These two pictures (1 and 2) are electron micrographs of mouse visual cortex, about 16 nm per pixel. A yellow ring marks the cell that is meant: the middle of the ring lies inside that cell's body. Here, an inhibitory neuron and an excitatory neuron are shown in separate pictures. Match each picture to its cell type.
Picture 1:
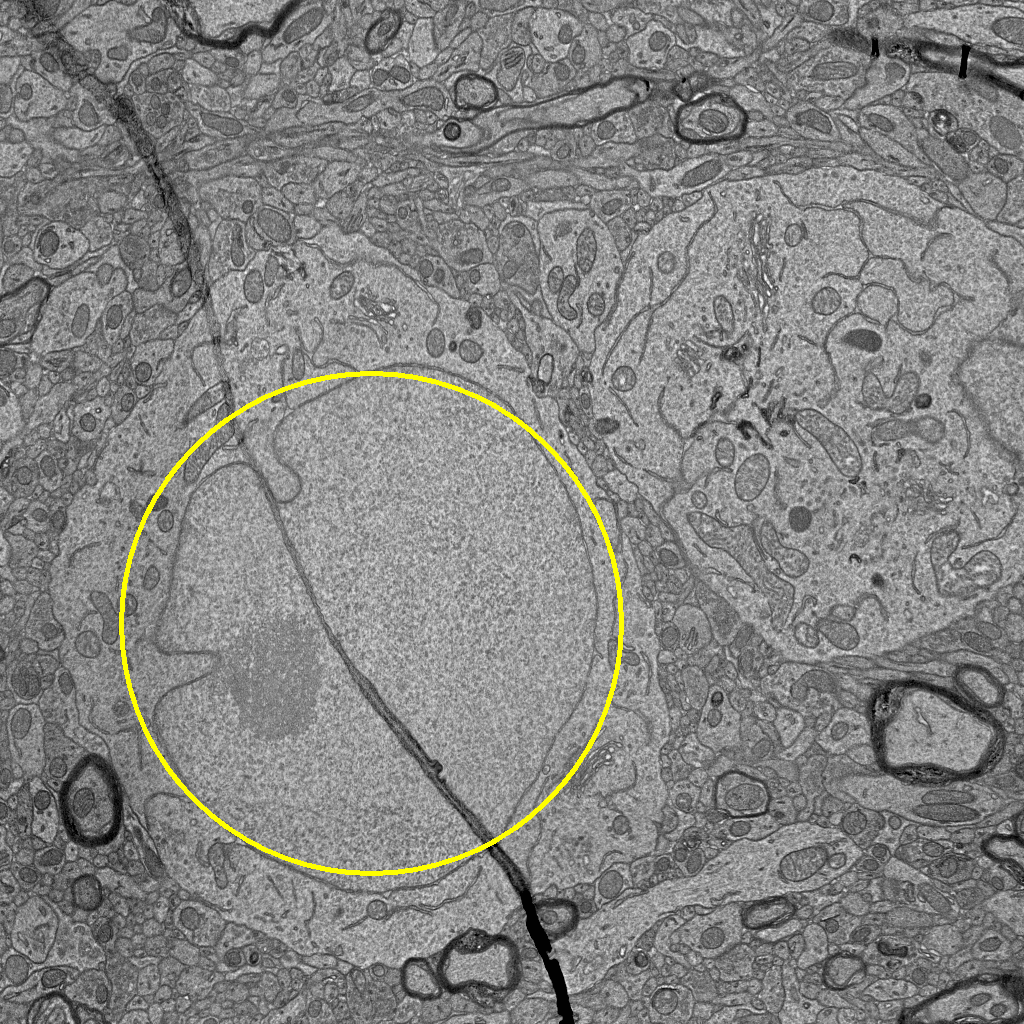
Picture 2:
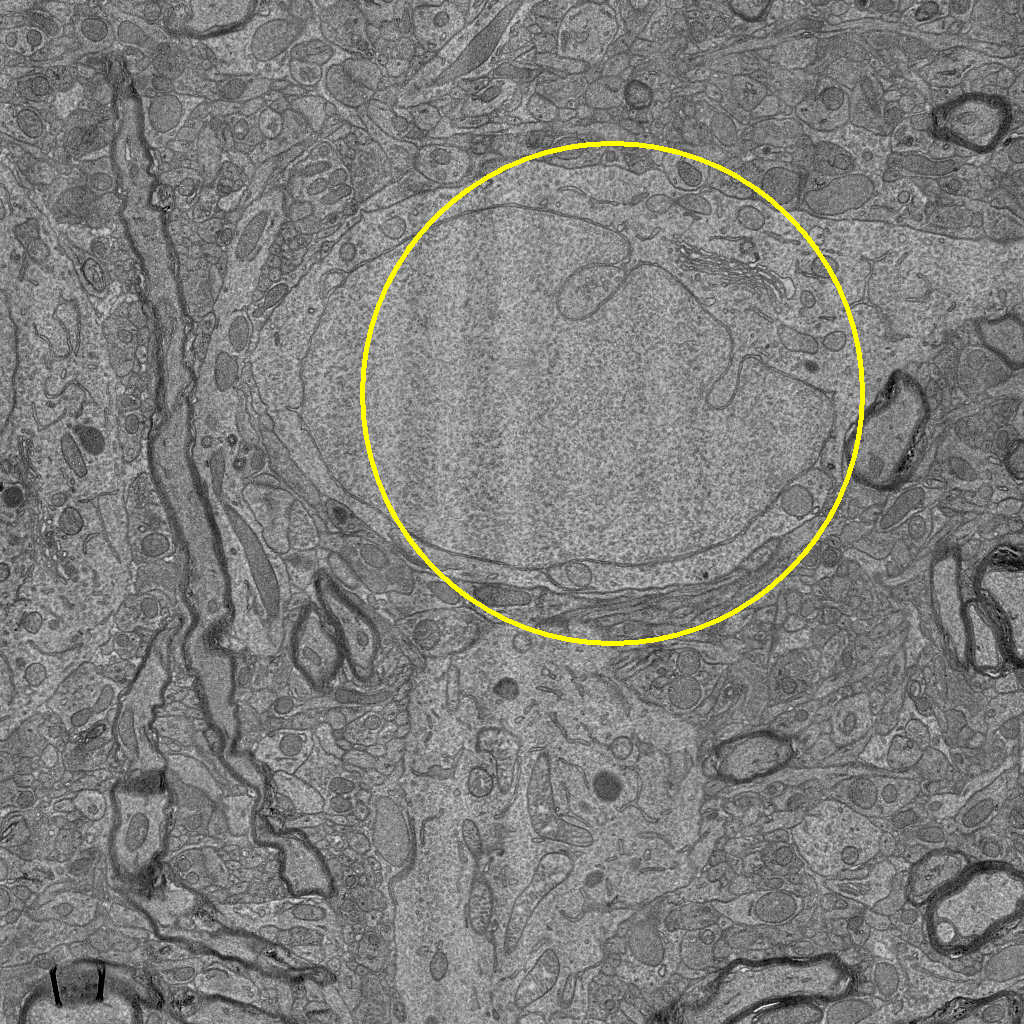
Picture 1 is of an excitatory neuron, and picture 2 is of an inhibitory neuron.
